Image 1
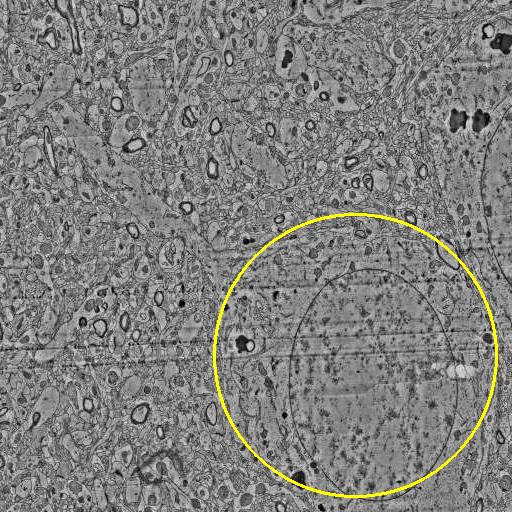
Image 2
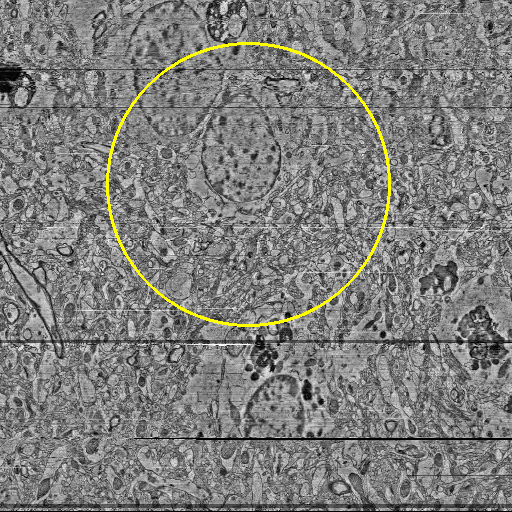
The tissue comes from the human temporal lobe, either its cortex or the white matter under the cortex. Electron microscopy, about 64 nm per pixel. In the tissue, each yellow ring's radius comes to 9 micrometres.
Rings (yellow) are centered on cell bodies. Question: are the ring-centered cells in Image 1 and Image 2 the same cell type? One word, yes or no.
no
